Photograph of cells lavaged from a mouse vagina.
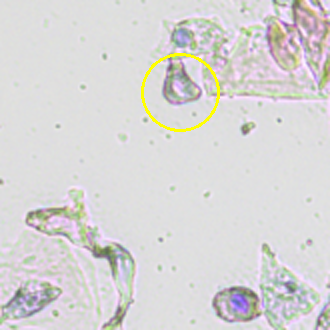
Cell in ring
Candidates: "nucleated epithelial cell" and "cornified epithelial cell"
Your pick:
nucleated epithelial cell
